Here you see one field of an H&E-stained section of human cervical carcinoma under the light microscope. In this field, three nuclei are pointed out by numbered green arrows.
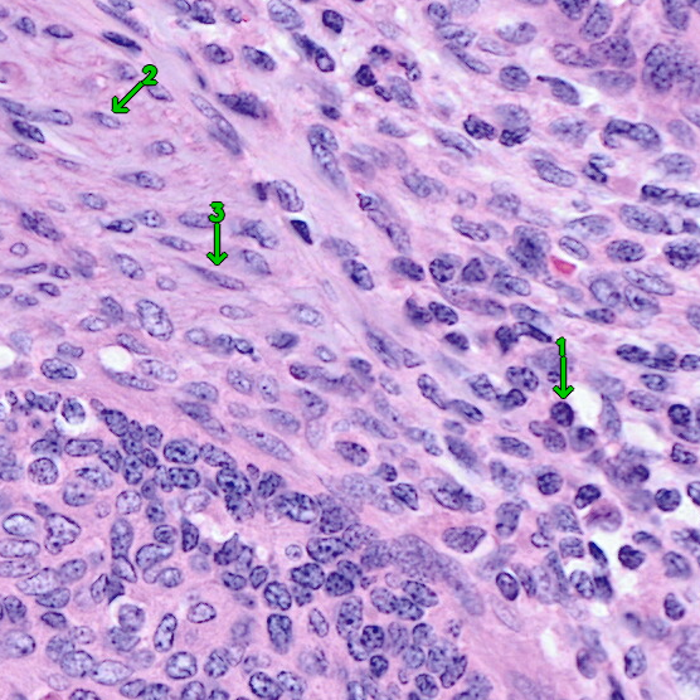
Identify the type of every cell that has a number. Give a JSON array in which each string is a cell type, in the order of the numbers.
["lymphocyte", "smooth muscle cell", "smooth muscle cell"]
